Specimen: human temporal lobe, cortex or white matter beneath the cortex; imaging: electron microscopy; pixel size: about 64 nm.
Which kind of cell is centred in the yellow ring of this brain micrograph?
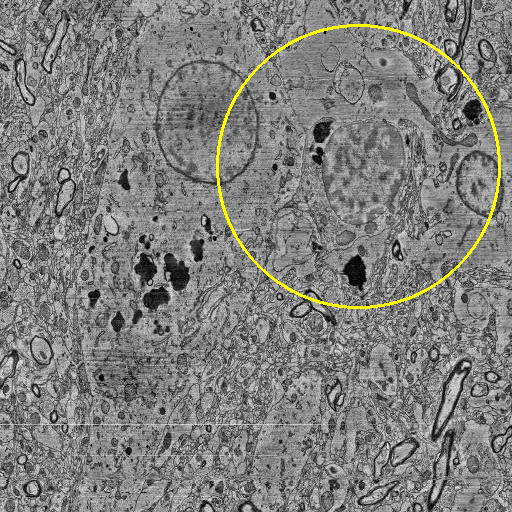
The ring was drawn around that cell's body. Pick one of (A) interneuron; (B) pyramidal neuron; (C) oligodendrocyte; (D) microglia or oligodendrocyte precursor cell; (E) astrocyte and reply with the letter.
C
